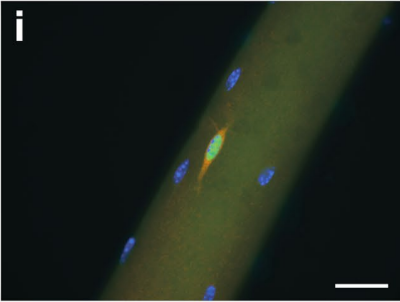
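A single isolated muscle fibre runs diagonally across the field, with several flattened oval blue nuclei spaced along its length. On its surface lies one satellite cell, spindle-shaped with tapering ends, whose nucleus is bright green and whose cytoplasm is red, standing out from the duller yellowish fibre.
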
